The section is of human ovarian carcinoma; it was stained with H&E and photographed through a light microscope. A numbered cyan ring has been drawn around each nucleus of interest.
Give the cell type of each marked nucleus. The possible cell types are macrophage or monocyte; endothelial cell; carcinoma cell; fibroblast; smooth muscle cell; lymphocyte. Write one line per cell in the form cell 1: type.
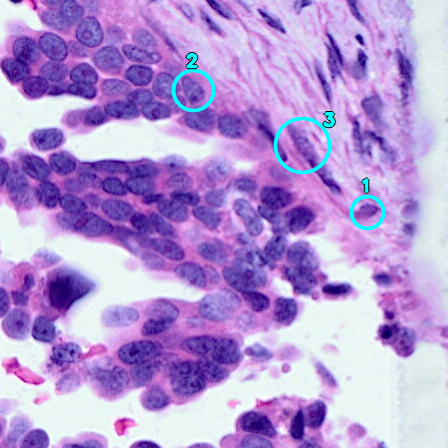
cell 1: fibroblast
cell 2: carcinoma cell
cell 3: fibroblast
